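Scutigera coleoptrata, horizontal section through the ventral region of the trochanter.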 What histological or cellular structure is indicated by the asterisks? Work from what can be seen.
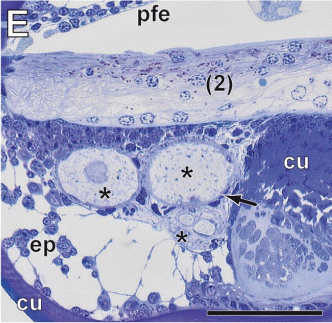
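The asterisks mark large round profiles with pale, finely granular interiors. They are ringed by small dark nuclei.
Hence: neuronal profiles.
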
